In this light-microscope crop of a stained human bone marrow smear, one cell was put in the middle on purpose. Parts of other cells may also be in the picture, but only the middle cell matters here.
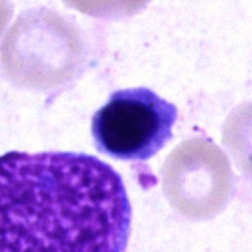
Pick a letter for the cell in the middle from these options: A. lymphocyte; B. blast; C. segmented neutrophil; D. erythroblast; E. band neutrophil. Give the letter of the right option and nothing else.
D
